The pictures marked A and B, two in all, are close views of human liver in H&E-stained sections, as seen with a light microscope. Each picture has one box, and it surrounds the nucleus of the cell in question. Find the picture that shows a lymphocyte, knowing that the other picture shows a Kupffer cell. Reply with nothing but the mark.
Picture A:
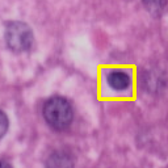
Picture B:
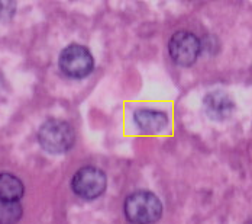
A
